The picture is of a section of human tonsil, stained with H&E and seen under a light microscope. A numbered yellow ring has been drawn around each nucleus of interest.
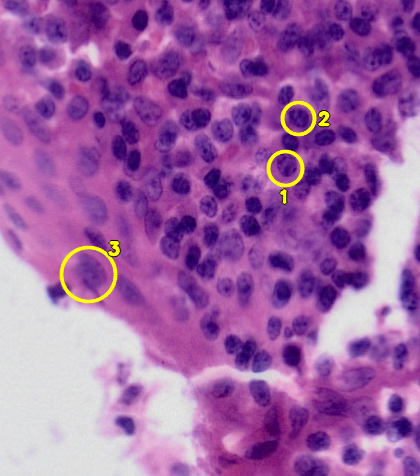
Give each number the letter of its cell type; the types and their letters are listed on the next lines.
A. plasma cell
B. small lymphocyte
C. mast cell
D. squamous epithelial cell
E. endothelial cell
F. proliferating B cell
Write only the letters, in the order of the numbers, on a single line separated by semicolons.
A; A; D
